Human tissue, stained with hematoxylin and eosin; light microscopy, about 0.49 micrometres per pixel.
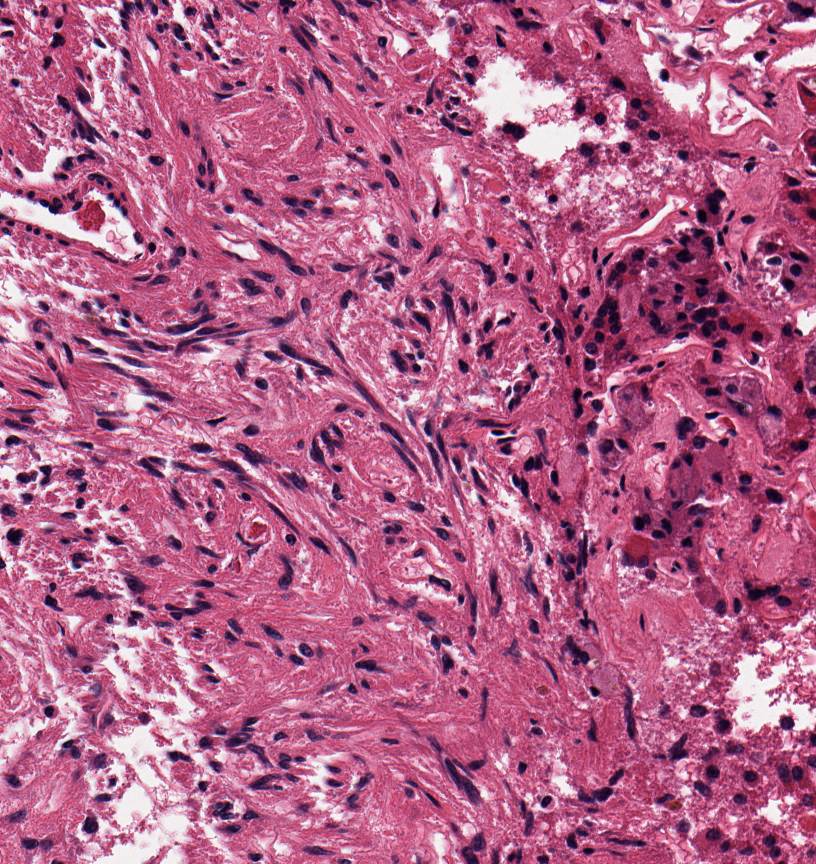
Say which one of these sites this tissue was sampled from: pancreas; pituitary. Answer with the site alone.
pituitary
